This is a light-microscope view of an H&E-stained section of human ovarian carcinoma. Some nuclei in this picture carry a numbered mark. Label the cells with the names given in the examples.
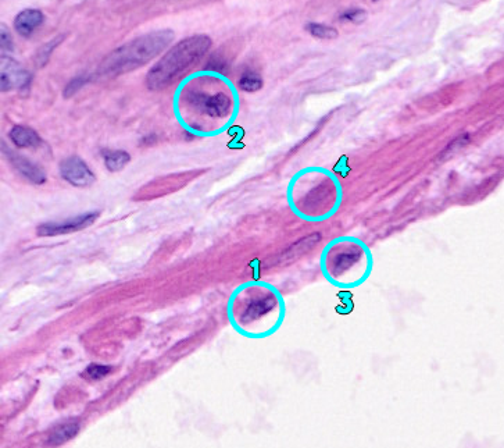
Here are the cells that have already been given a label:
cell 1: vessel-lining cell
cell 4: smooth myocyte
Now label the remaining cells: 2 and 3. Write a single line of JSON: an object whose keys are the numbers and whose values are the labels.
{"2": "smooth myocyte", "3": "vessel-lining cell"}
